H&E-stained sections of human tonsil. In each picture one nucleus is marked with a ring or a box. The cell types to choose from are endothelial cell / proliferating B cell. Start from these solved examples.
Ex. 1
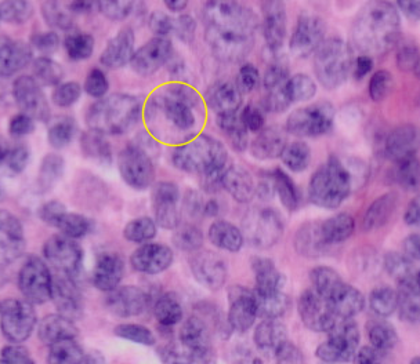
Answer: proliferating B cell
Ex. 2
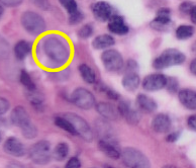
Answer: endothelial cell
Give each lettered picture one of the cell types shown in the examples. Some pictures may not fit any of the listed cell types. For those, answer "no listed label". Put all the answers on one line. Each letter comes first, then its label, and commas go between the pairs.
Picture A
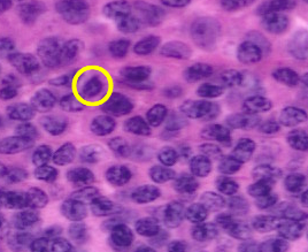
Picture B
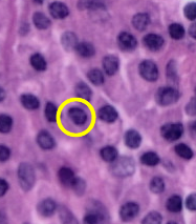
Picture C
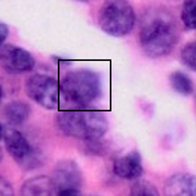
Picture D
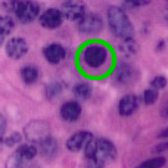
A no listed label, B no listed label, C proliferating B cell, D no listed label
